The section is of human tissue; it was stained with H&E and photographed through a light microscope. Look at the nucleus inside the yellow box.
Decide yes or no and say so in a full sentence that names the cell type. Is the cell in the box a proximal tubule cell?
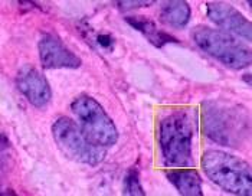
No, the cell in the box is a carcinoma cell rather than a proximal tubule cell in this section.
